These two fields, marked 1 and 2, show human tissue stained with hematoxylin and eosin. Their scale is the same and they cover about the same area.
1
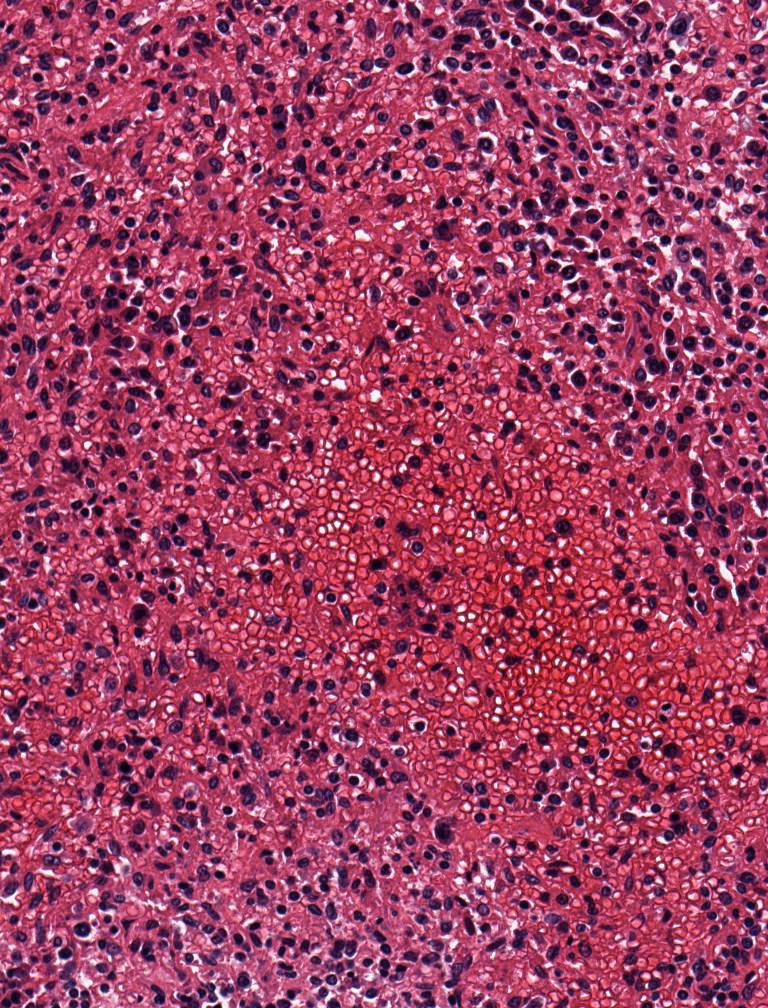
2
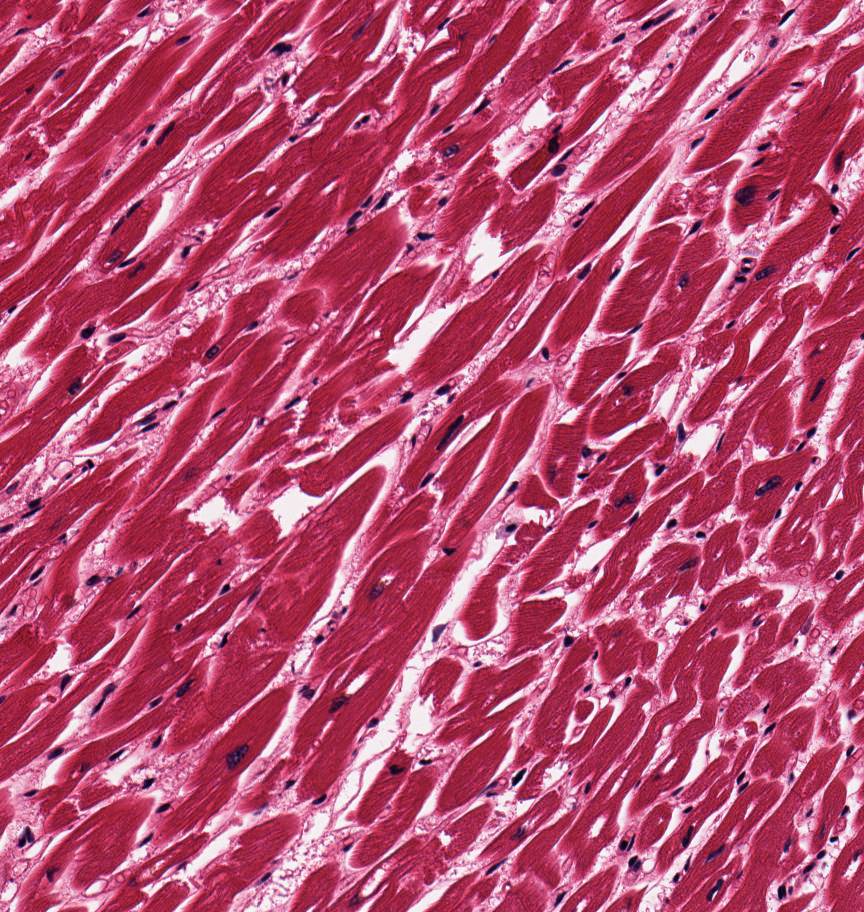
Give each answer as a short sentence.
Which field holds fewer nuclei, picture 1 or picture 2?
Picture 2 holds fewer nuclei than picture 1.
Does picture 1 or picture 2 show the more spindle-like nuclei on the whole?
Longer, more slender nuclei lie in picture 2.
